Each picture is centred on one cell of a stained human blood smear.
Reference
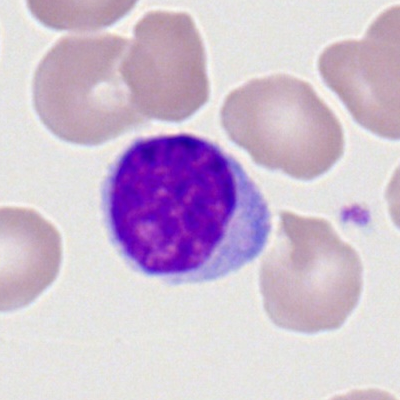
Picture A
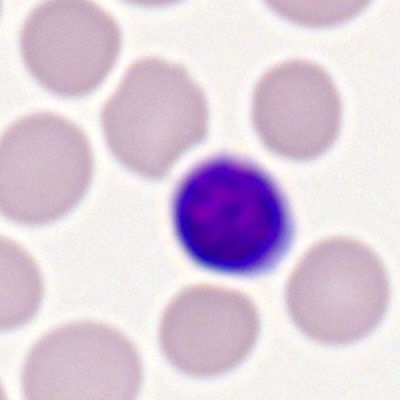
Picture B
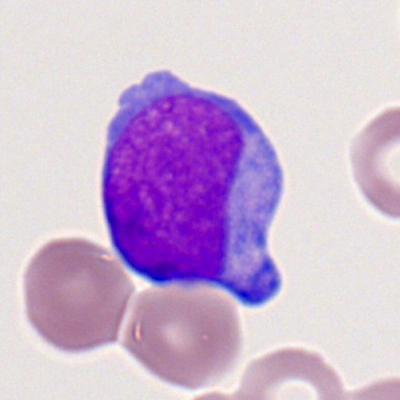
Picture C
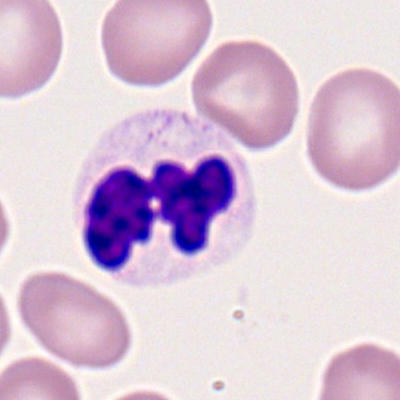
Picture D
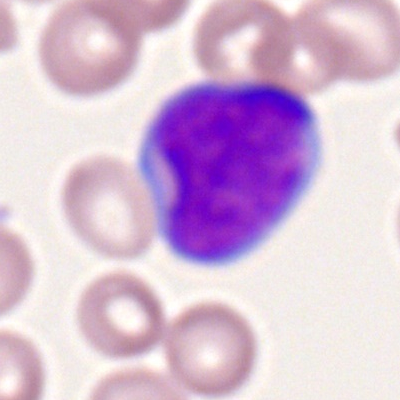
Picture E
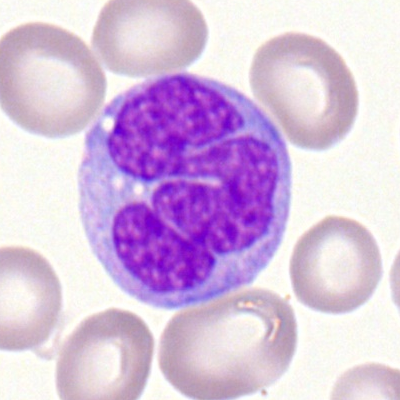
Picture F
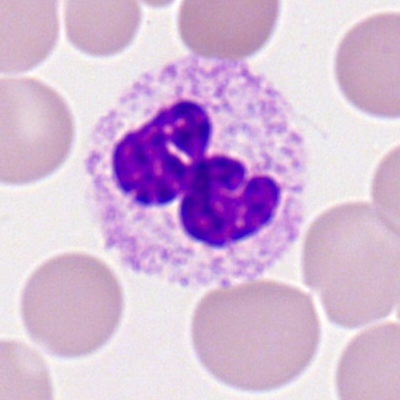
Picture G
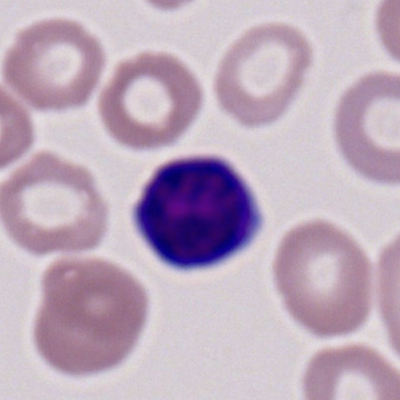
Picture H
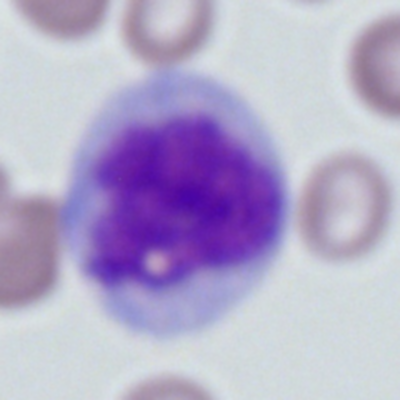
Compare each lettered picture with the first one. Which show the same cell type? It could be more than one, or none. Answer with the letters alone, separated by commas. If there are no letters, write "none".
A, G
